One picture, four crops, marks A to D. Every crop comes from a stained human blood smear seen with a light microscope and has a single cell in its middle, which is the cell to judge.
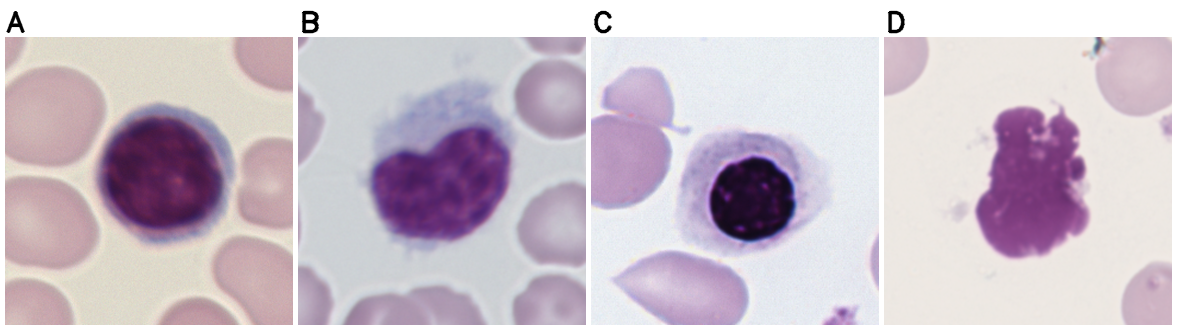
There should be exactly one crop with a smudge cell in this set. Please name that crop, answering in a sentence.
The one crop that shows a smudge cell is crop D.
